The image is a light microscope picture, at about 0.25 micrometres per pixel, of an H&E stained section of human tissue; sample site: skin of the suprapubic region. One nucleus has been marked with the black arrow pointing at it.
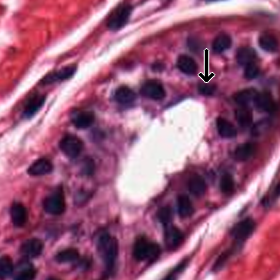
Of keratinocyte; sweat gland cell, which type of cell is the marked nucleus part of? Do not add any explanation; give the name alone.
sweat gland cell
